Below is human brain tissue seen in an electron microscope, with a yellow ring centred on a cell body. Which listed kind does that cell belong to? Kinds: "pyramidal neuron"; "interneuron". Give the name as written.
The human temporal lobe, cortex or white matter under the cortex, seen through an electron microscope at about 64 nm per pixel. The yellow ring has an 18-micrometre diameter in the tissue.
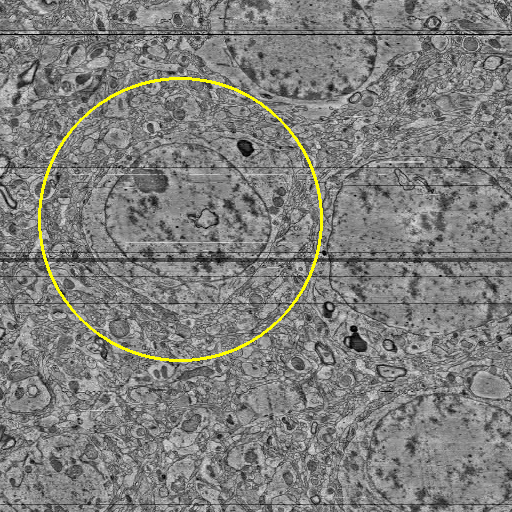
pyramidal neuron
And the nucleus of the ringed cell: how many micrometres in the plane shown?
In this plane the nucleus is about 11 micrometres by 9.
